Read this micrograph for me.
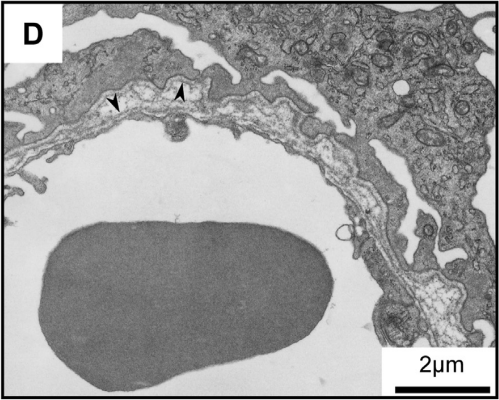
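A glomerular capillary loop with a red blood cell in its lumen is bordered by an abnormal basement membrane. The membrane is widened and irregular, made of thin dense lines on its podocyte and endothelial sides separated by a pale, loose, fibrillar zone. Podocyte cytoplasm with many mitochondria lies over the outer surface of the membrane.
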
